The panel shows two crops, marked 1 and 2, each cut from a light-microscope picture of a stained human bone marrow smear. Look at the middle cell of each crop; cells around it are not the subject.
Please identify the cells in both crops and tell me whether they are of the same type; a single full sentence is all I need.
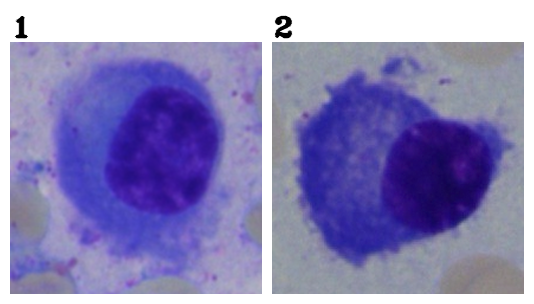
Yes, the crops both have plasma cells in the middle.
